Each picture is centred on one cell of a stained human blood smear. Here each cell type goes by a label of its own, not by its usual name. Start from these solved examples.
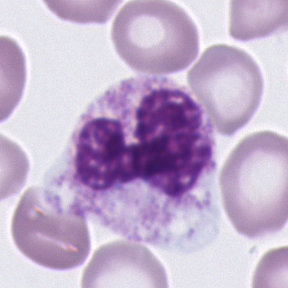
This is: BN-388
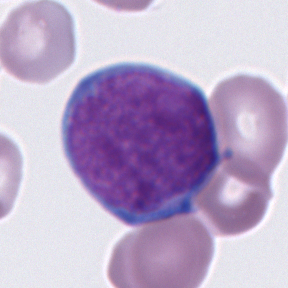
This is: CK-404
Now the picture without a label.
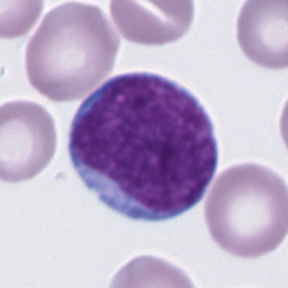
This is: CK-404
